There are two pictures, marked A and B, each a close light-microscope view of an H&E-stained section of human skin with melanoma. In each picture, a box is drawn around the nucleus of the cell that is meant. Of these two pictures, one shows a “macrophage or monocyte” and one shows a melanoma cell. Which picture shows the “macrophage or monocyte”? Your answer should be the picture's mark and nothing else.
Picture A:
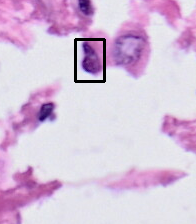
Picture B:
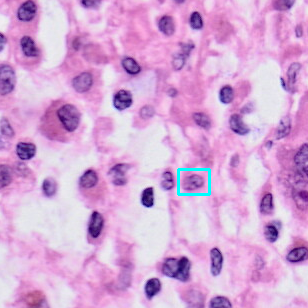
B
